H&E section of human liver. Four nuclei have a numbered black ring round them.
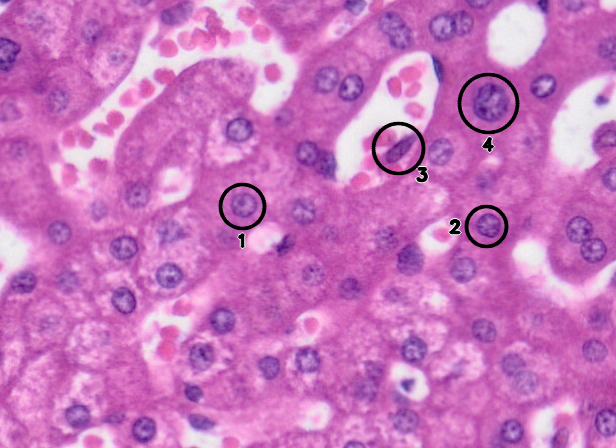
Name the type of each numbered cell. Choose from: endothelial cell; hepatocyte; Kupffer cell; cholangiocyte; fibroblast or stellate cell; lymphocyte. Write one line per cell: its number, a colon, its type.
1: hepatocyte
2: hepatocyte
3: Kupffer cell
4: hepatocyte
